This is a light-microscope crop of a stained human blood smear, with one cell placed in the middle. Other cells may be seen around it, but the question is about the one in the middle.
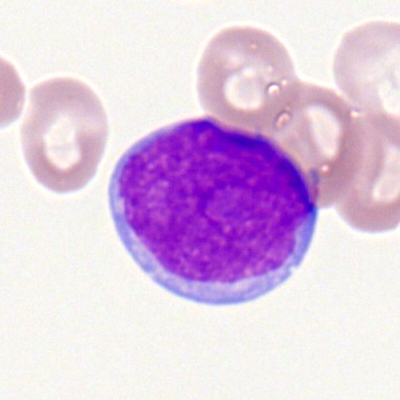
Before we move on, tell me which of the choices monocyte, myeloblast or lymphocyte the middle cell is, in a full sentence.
The cell in the exact centre of the crop is a myeloblast.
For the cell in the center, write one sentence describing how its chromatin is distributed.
Heads up, the chromatin is fine with no coarse clumps in it.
